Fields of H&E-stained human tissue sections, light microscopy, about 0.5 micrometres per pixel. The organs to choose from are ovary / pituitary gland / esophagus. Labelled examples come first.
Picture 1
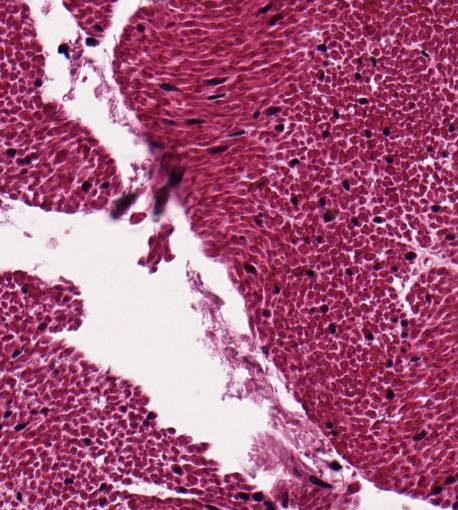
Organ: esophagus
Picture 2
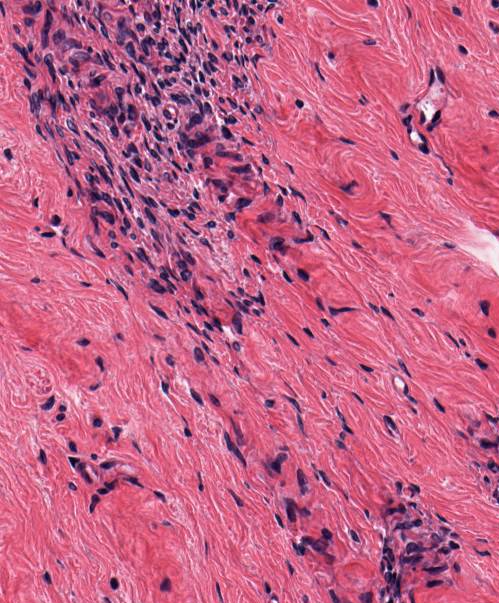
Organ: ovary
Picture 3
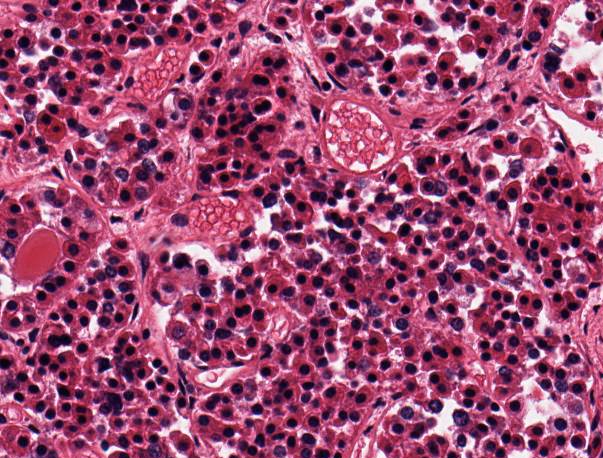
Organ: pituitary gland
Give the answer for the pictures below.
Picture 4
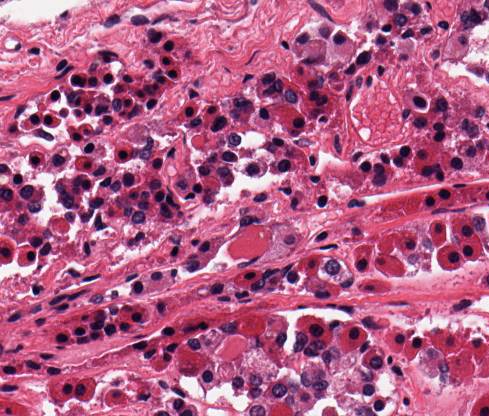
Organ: pituitary gland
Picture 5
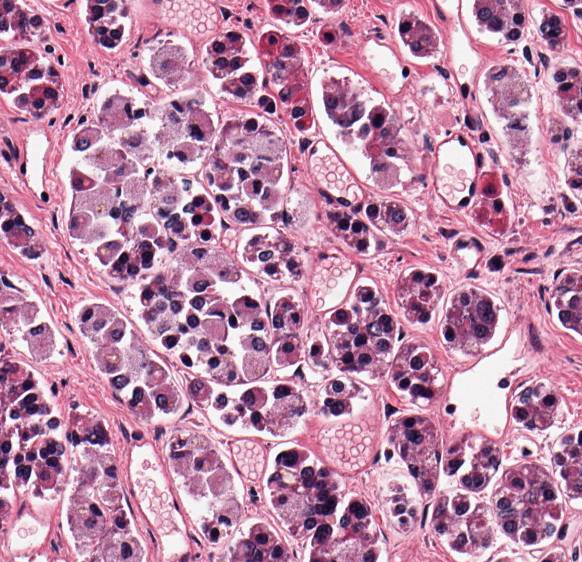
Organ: pituitary gland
